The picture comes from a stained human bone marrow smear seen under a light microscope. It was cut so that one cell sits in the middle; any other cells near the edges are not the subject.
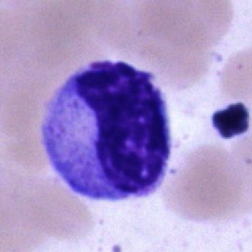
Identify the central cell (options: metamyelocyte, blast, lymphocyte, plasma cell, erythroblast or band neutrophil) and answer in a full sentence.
The cell found in the middle of this crop is a metamyelocyte.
